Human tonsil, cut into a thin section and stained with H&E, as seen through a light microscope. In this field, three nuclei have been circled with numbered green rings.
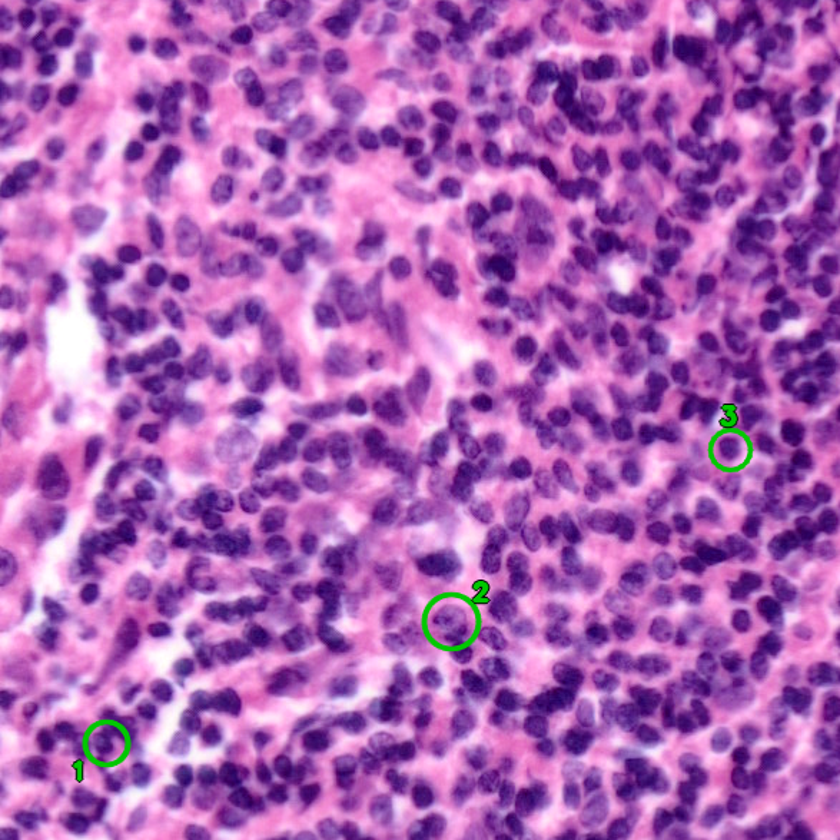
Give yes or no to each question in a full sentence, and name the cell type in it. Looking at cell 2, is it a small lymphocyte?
No, the cell carrying number 2 is a proliferating B cell, not a small lymphocyte.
